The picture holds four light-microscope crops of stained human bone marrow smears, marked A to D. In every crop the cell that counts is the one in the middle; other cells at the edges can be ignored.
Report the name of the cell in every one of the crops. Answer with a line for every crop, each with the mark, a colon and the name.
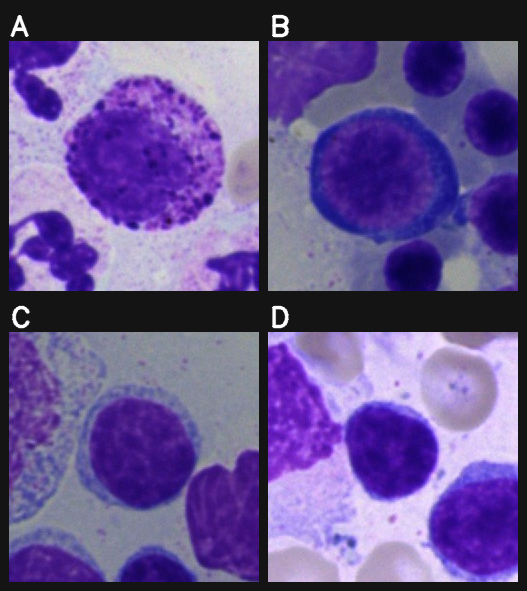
A: basophil
B: proerythroblast
C: lymphocyte
D: lymphocyte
